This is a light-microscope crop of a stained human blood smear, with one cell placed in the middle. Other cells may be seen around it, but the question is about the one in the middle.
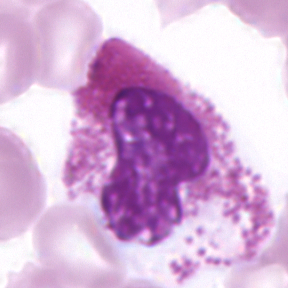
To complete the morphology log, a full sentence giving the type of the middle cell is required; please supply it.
Centred in the crop is an eosinophil.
